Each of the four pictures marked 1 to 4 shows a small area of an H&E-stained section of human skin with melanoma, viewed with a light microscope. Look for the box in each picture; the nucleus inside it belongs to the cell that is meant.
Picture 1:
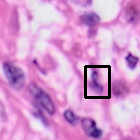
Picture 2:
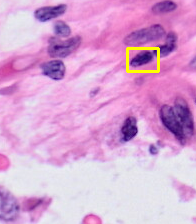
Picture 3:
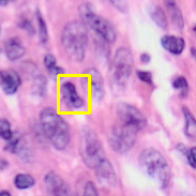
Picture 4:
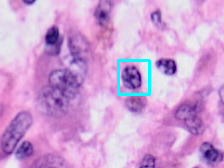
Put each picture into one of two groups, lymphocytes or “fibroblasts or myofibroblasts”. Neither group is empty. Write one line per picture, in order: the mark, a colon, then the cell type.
1: fibroblast or myofibroblast
2: lymphocyte
3: lymphocyte
4: lymphocyte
